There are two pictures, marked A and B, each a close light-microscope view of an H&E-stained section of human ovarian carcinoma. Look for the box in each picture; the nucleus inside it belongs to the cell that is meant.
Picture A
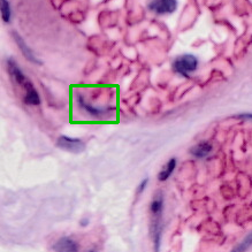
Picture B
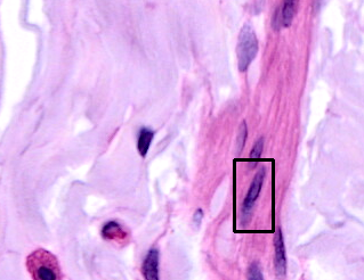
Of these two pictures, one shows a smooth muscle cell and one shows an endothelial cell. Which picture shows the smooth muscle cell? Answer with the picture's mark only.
B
